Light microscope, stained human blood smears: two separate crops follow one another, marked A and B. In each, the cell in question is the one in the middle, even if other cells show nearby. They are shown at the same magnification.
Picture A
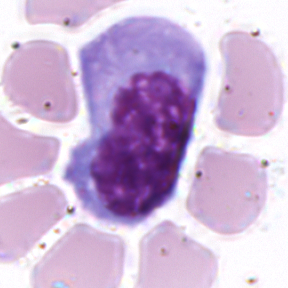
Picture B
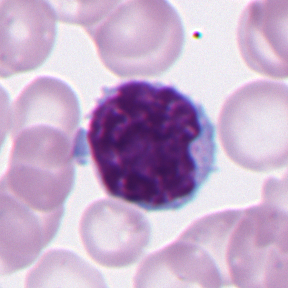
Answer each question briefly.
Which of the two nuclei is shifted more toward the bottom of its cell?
A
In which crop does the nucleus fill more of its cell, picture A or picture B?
B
